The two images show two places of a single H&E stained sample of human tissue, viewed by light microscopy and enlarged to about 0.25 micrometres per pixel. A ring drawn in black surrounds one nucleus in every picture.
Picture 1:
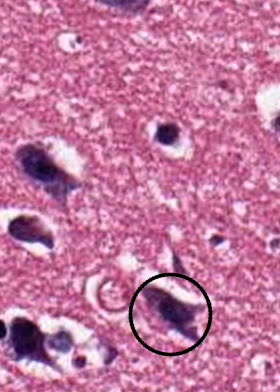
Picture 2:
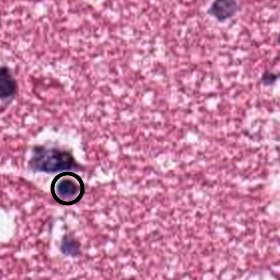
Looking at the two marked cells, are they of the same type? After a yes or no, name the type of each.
No, the first is a neuron and the second an oligodendrocyte.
